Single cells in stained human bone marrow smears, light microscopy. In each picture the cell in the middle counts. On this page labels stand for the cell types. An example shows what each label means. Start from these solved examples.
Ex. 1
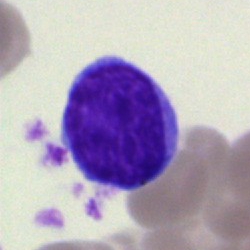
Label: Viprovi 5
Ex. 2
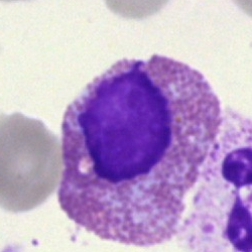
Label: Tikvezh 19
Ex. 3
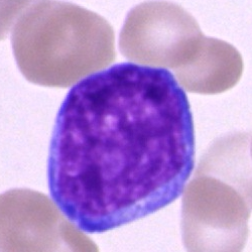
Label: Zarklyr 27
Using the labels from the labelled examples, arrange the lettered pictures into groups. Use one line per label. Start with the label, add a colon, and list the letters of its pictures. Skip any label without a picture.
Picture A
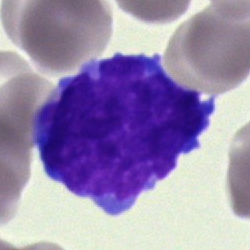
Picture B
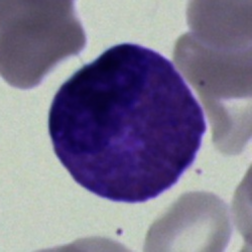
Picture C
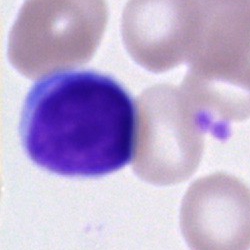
Viprovi 5: C
Tikvezh 19: B
Zarklyr 27: A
